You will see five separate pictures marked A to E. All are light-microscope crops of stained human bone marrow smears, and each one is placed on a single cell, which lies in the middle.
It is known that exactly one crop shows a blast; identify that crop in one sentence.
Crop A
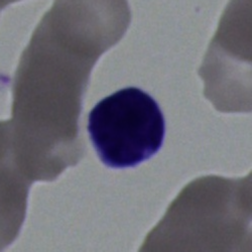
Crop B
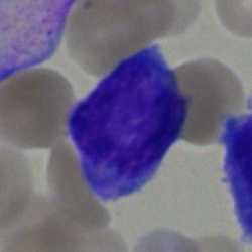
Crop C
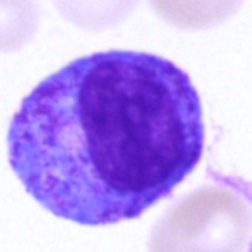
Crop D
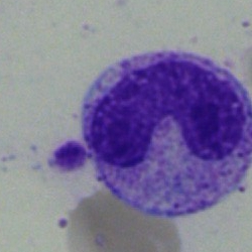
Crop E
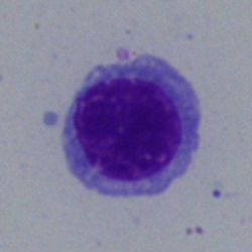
It is crop B, not any other, that shows a blast.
